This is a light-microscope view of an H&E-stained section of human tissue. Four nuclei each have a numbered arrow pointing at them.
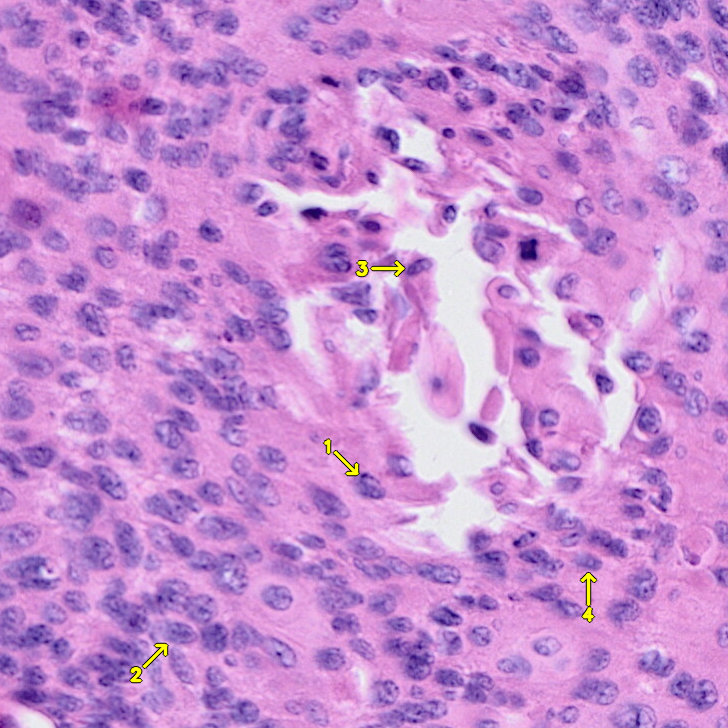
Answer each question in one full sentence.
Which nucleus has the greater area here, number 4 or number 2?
Of the two, number 2 is bigger and takes up about 1.5 times the area of number 4.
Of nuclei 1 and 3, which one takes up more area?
Number 1 is larger; its area is about 2 times that of number 3.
